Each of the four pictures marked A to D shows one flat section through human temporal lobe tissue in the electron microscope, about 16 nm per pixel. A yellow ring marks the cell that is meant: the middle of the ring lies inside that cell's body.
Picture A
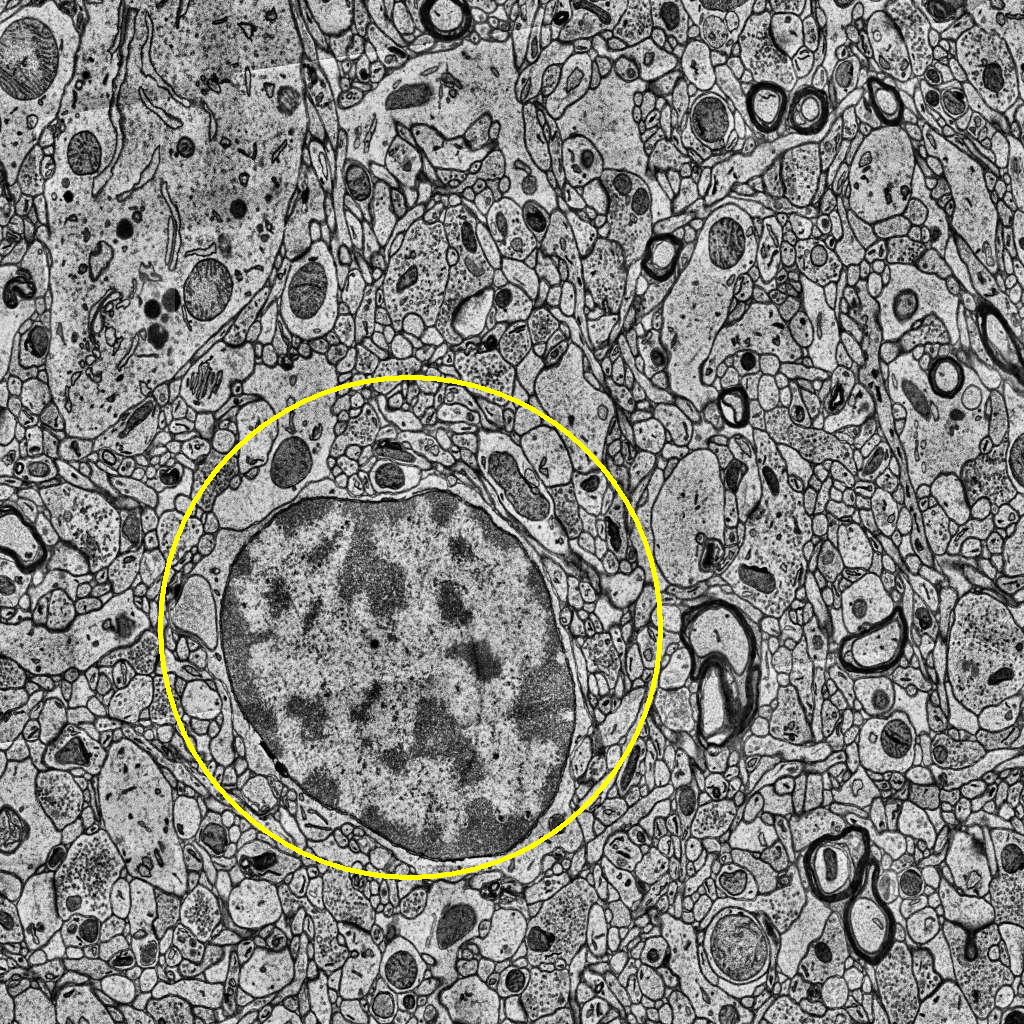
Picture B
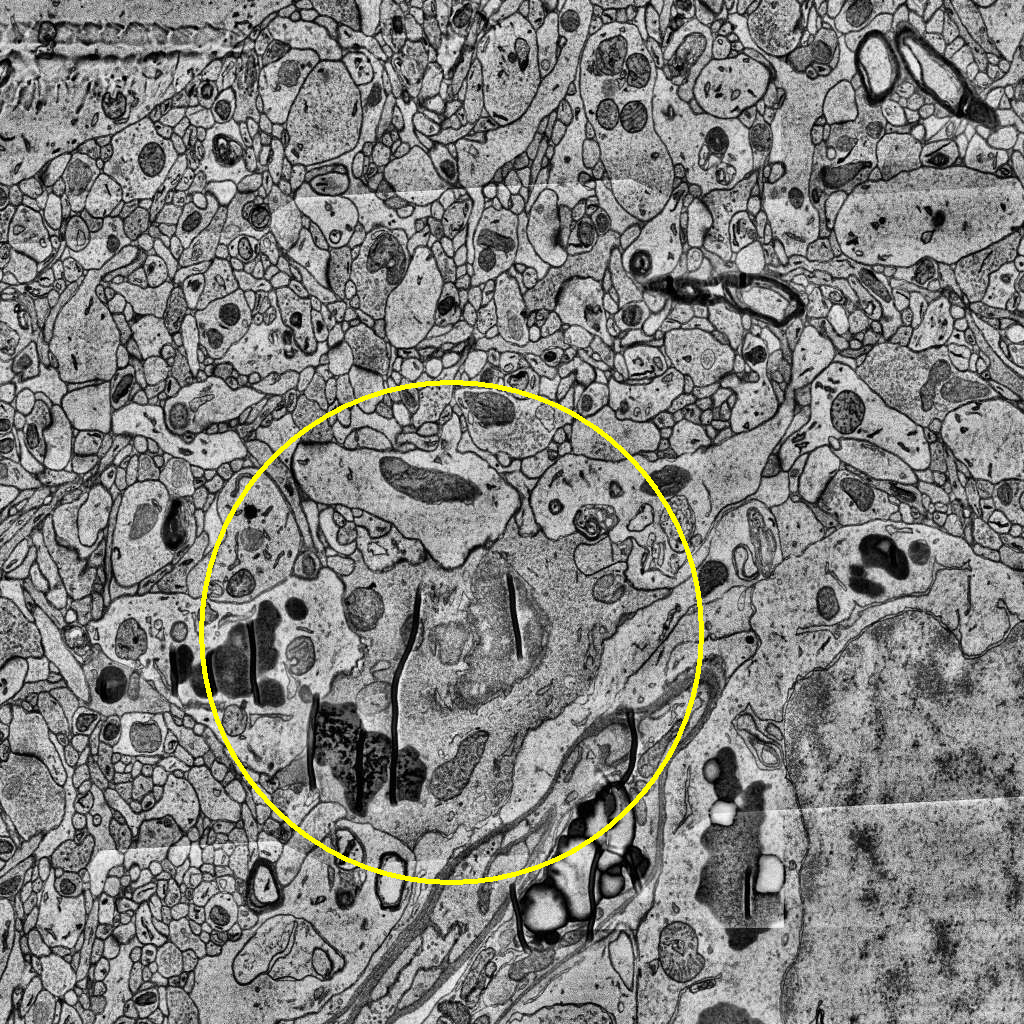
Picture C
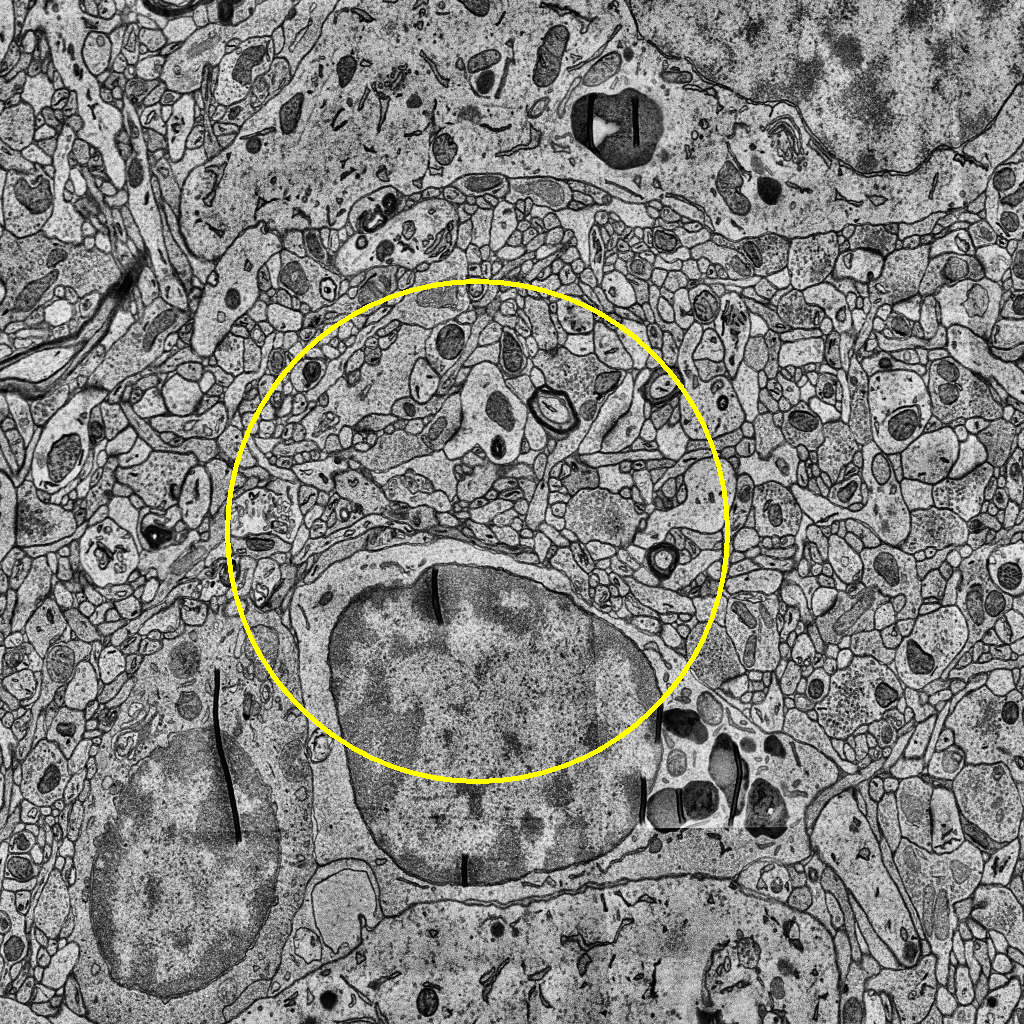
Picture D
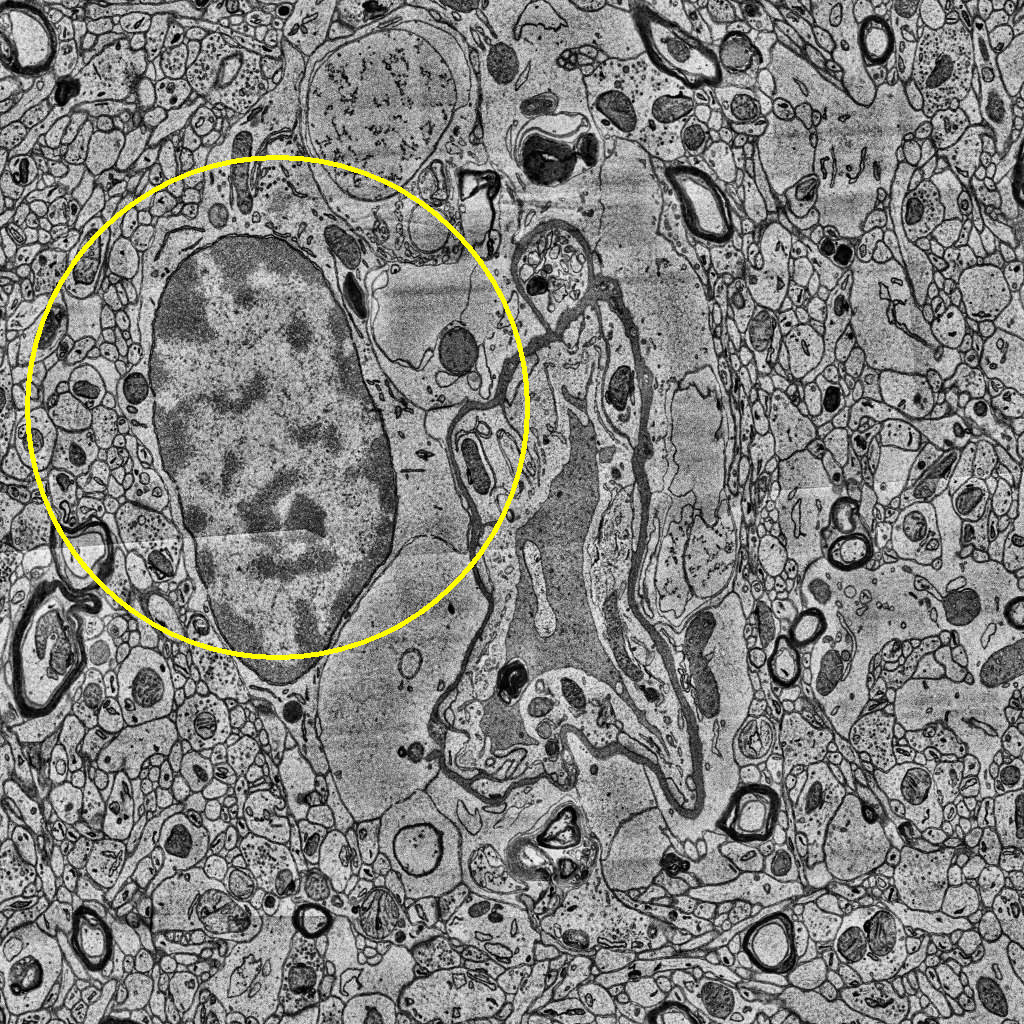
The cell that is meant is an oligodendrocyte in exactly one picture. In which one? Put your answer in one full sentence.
The cell in picture B is the oligodendrocyte.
